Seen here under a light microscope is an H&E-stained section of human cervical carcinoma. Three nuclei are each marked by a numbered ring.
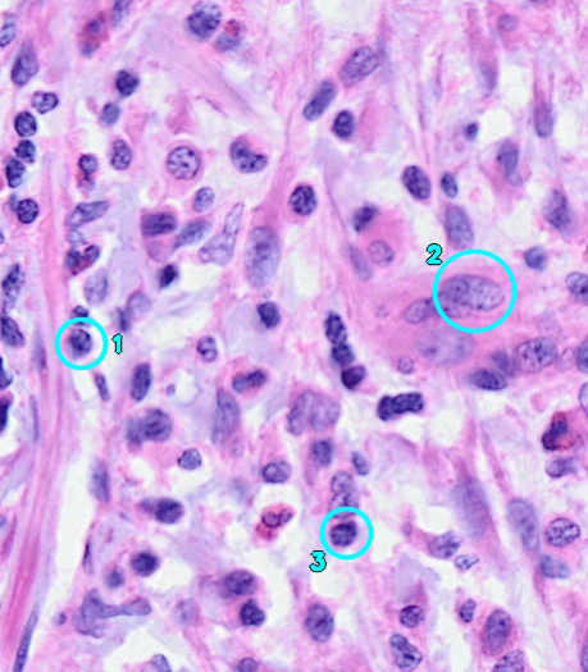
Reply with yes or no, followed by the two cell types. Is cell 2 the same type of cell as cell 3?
No, cell 2 is an endothelial cell and cell 3 is a lymphocyte.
